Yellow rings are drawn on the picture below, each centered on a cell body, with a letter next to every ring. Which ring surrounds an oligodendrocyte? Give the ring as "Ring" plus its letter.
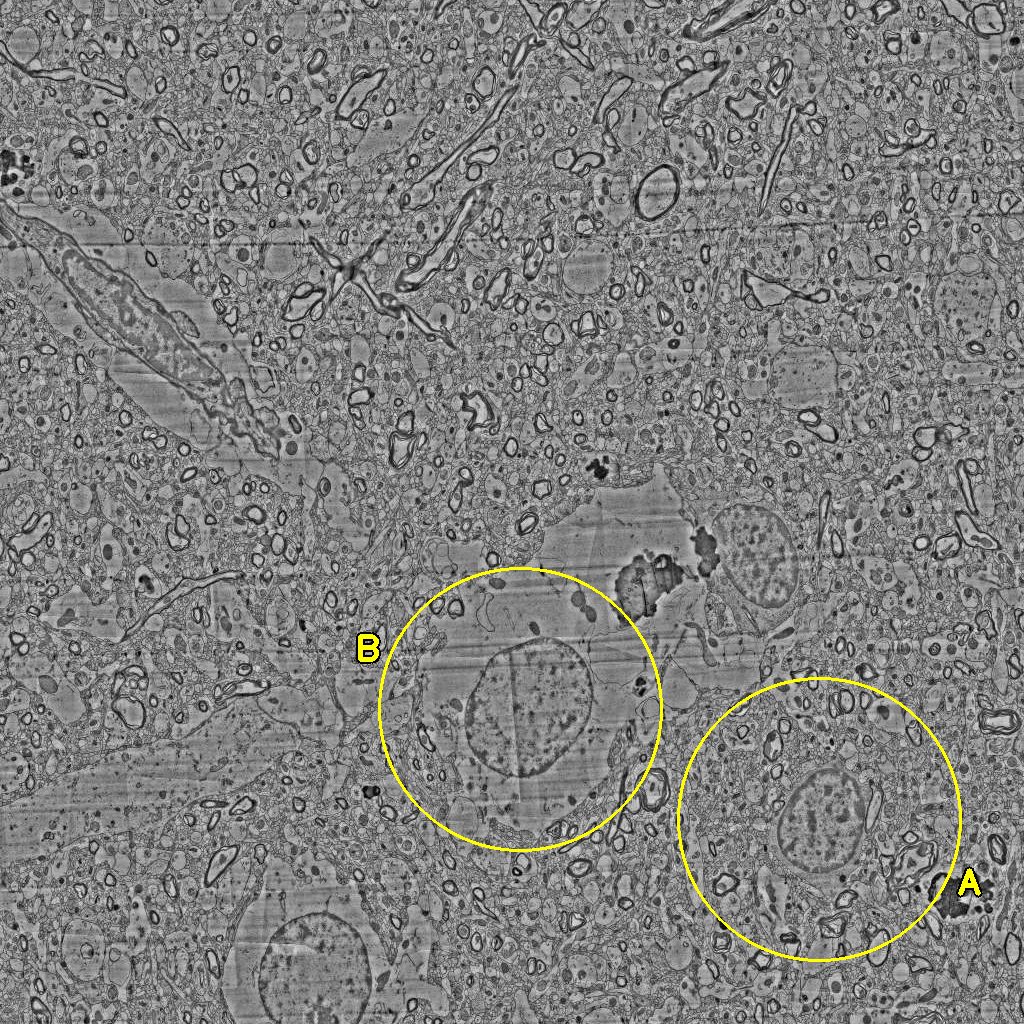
Ring A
